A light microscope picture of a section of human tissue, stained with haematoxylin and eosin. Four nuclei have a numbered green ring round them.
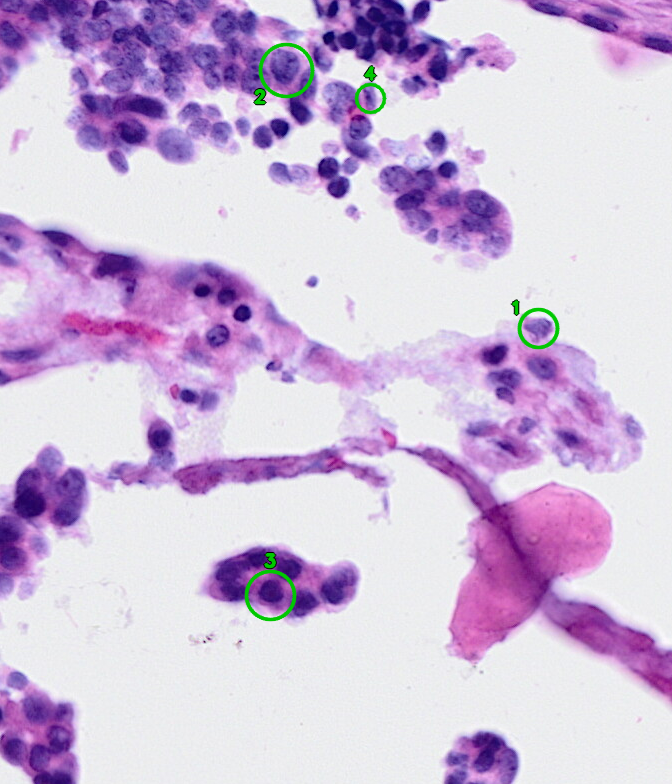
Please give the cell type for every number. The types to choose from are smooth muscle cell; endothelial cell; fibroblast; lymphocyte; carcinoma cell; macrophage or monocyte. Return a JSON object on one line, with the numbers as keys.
{"1": "macrophage or monocyte", "2": "carcinoma cell", "3": "carcinoma cell", "4": "macrophage or monocyte"}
